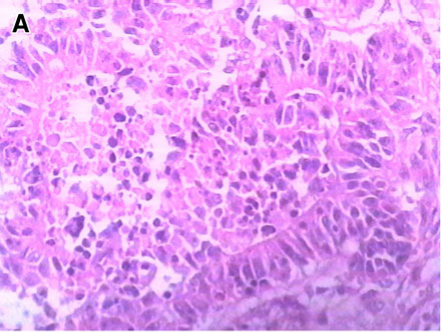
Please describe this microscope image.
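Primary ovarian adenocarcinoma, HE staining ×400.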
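The glands are lined by tall columnar tumour cells that are stacked in several layers. Their nuclei are large, oval to elongated and deeply stained purple, and lie in disorder rather than in a single neat row.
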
